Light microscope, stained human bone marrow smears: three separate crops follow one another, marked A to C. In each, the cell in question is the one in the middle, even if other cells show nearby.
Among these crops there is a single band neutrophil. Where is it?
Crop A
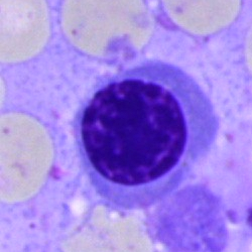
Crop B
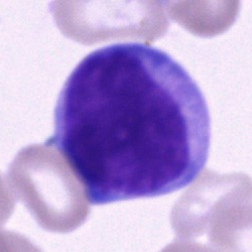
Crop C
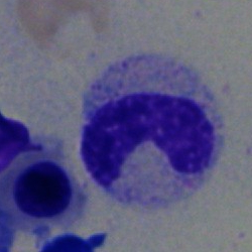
C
